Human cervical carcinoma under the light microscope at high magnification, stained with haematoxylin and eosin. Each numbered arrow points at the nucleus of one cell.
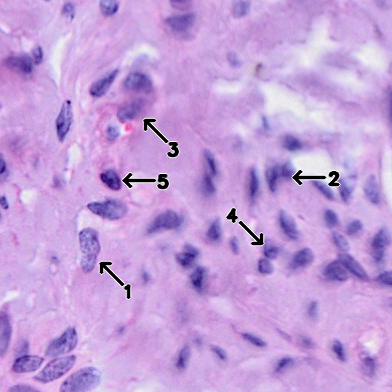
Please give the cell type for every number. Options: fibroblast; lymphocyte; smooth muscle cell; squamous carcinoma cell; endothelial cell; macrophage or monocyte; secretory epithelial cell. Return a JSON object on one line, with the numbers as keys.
{"1": "fibroblast", "2": "fibroblast", "3": "endothelial cell", "4": "fibroblast", "5": "endothelial cell"}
